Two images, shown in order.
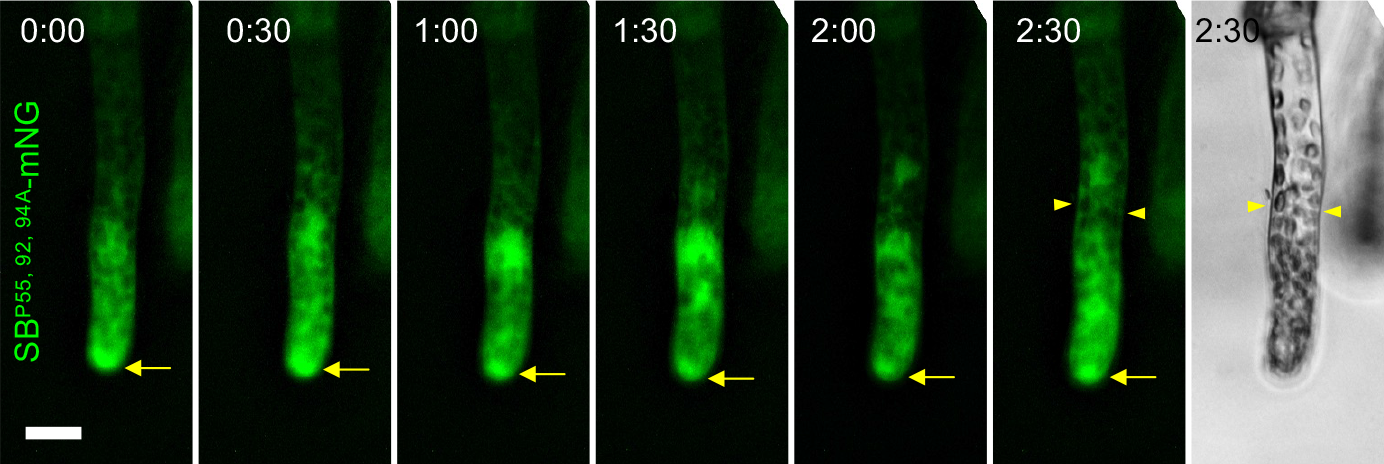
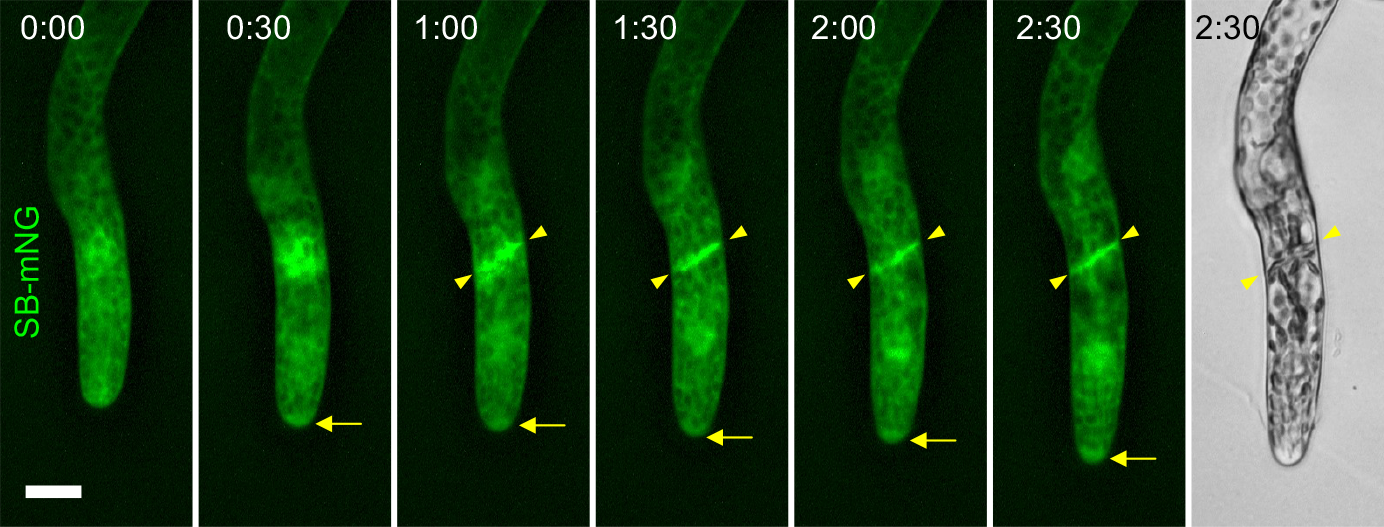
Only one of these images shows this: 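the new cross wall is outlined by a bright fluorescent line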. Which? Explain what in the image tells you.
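First image: no distinct fluorescent line crosses the filament at the marked position. Second image: a thin bright green line spans the filament between the arrowheads. The answer: the second image.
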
